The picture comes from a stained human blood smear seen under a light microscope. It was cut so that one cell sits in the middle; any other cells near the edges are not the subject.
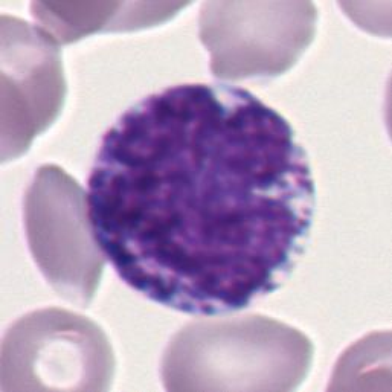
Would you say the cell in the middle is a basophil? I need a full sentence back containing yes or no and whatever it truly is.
Yes, a basophil is present in the middle of the crop.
